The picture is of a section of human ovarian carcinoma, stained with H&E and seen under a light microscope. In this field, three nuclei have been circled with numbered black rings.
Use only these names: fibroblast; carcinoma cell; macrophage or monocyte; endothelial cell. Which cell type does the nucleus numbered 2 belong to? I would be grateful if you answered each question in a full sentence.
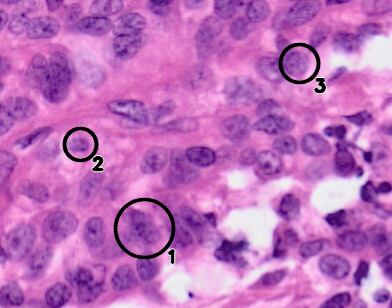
In this section, the cell numbered 2 is a macrophage or monocyte.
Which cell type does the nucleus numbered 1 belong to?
In this section, the cell numbered 1 is a carcinoma cell.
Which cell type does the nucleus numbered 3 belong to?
The cell carrying label 3 is identified as a carcinoma cell.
